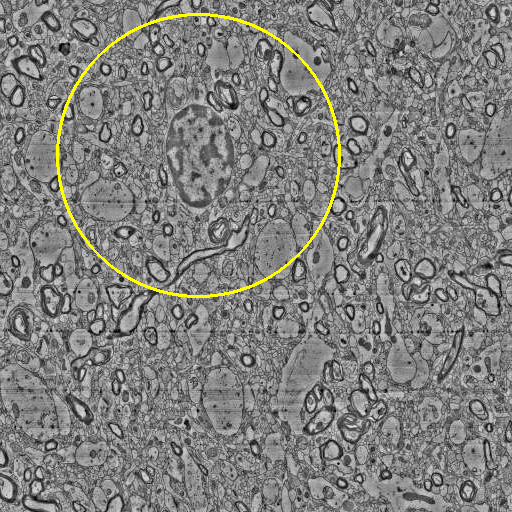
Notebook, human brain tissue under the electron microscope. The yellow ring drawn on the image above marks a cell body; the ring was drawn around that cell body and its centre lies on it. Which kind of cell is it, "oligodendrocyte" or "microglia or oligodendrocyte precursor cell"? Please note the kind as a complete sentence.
The marked cell body is that of a microglial cell or oligodendrocyte precursor cell.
